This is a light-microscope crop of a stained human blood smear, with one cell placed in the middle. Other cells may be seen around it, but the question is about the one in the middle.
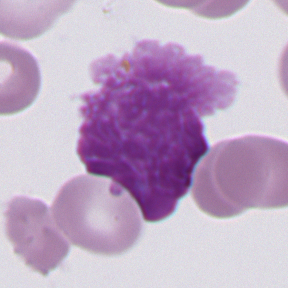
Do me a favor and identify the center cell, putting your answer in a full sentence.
The cell found in the middle of this crop is a smudge cell.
